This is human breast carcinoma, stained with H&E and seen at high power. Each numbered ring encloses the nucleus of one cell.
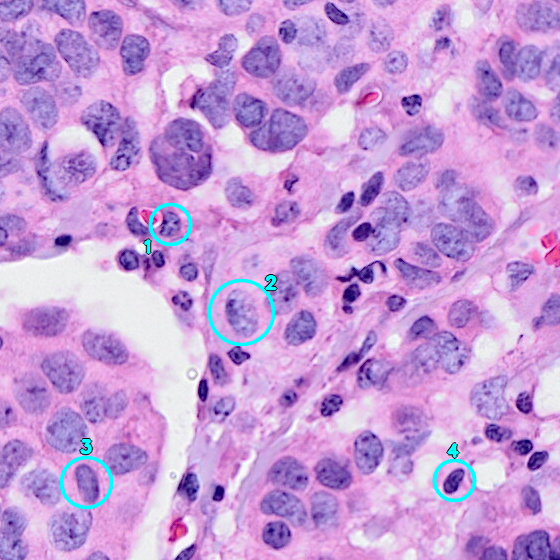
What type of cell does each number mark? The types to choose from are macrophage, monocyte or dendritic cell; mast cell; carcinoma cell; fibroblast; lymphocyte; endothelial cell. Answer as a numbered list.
1. endothelial cell
2. carcinoma cell
3. carcinoma cell
4. lymphocyte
